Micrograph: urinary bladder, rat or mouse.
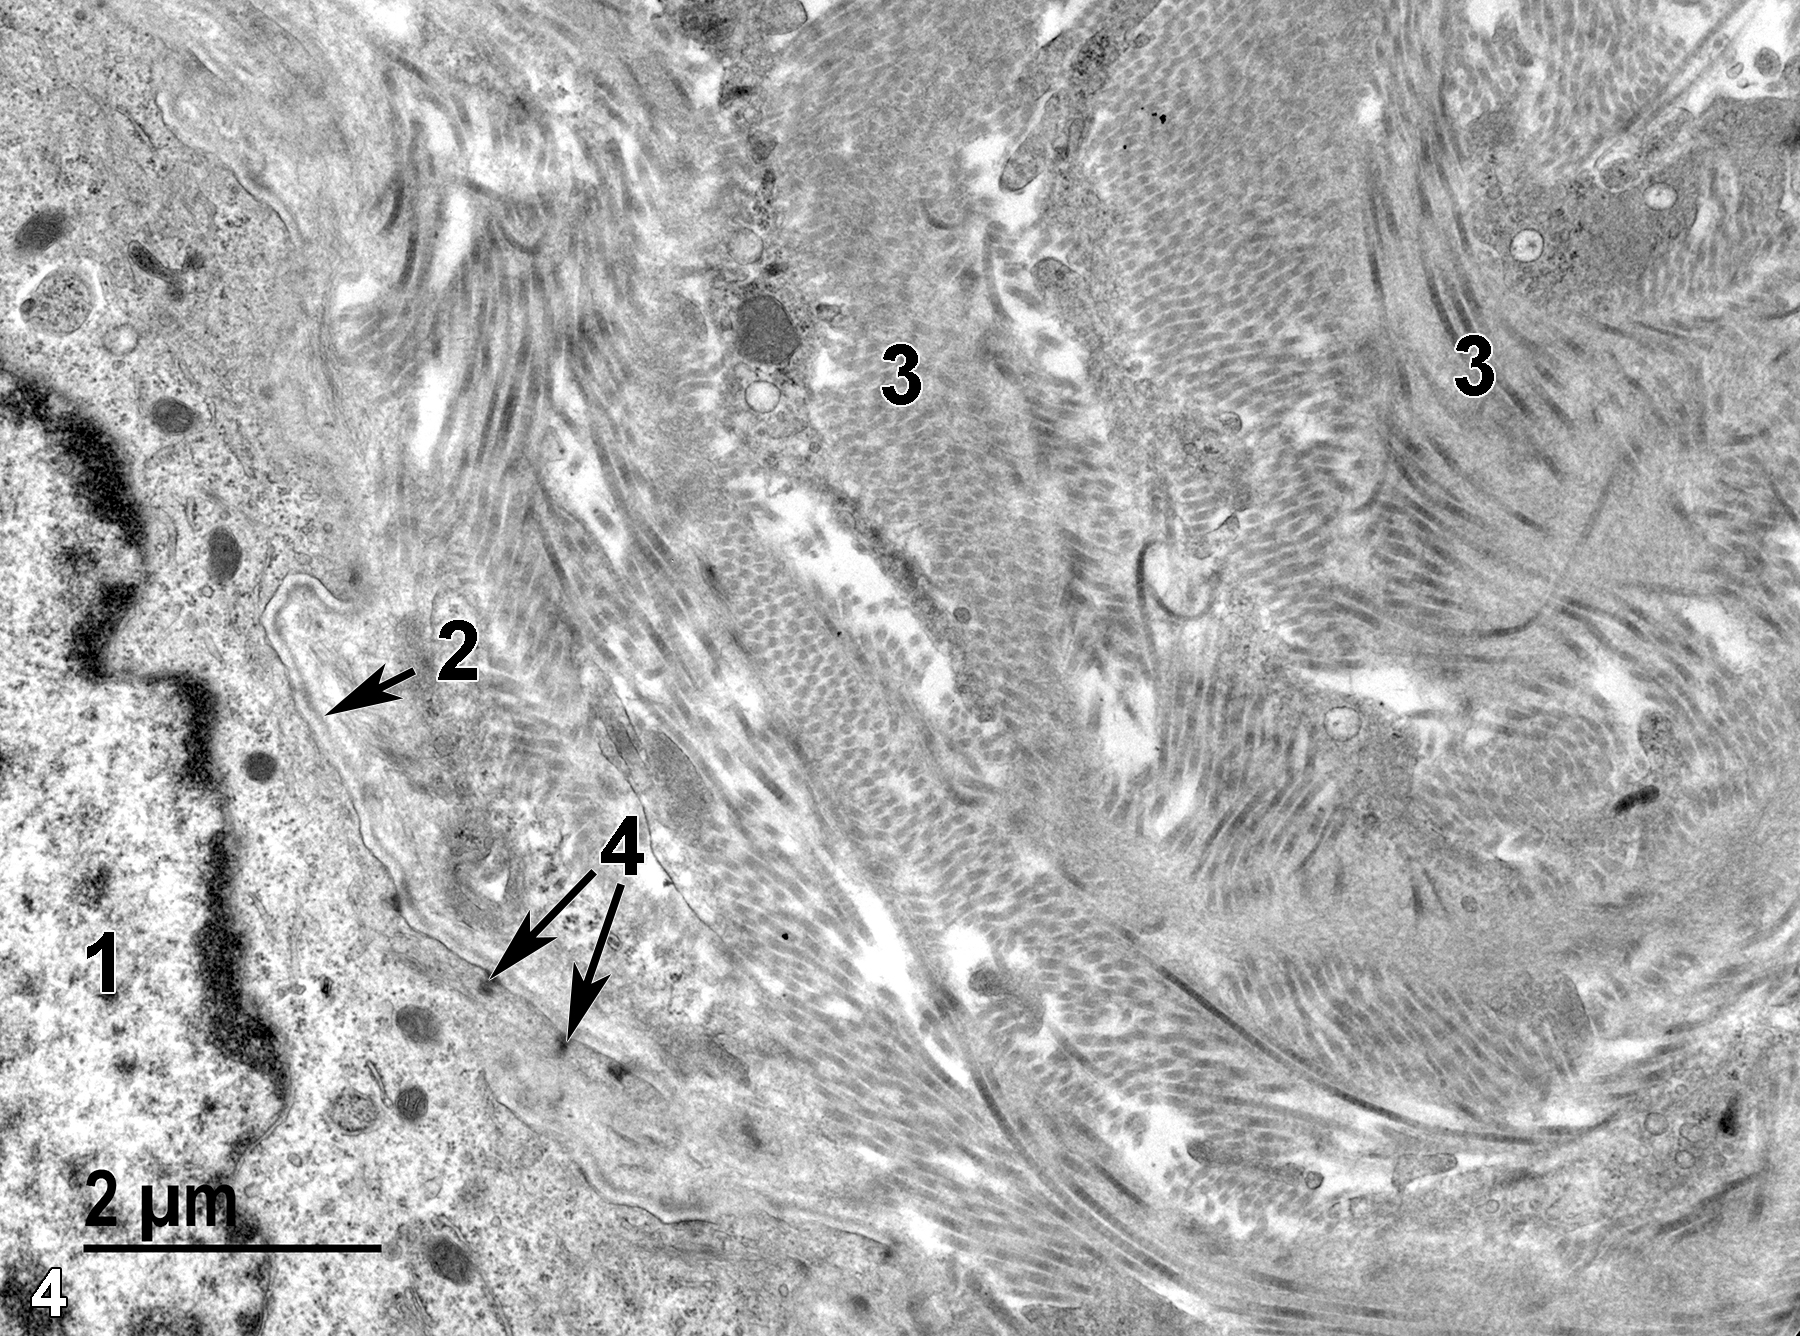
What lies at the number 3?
Collagen fibrils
